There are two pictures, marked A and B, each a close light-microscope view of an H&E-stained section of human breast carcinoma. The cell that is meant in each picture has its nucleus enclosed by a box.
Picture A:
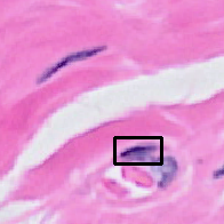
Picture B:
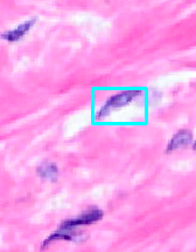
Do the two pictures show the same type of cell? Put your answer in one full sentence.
No, they differ: the cell is an endothelial cell in picture A and a fibroblast in picture B.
